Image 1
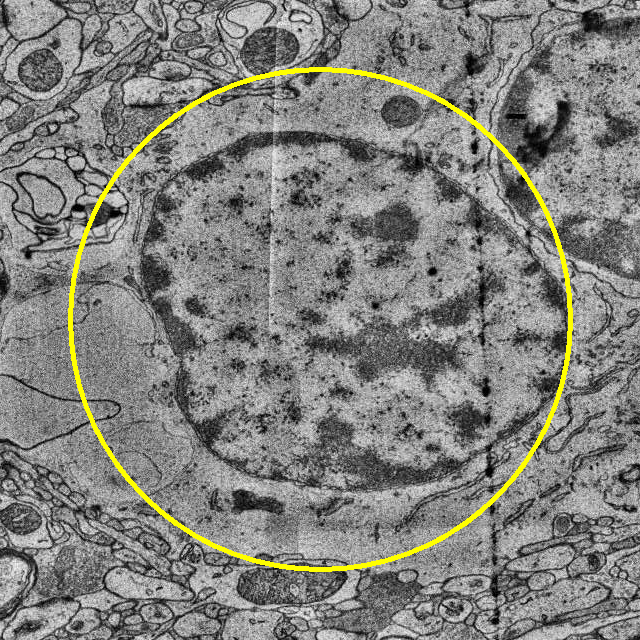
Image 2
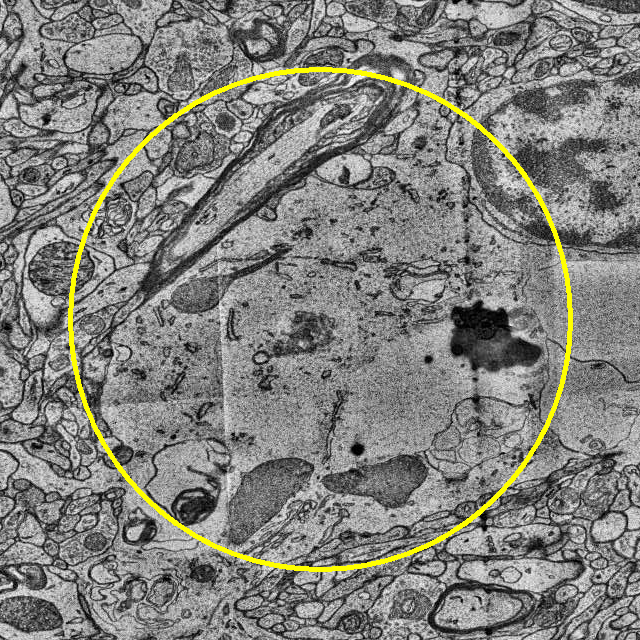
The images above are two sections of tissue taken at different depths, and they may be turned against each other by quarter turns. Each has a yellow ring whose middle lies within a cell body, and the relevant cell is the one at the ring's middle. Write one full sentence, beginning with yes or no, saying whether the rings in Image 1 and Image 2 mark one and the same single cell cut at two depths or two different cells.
Yes, one single cell is under each of the two rings.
